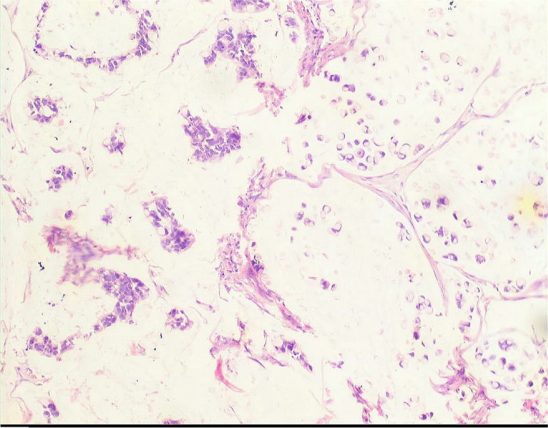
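Mucinous carcinoma at low power: large pale lakes of mucin take up most of the field, separated by thin pink fibrous septa. Within the lakes float purple tumour cell groups of several forms: small tubular and papillary clusters of crowded cells with dark nuclei, and scattered single rounded cells with clear cytoplasm lying loosely in the mucin. Some cell groups cling to the septa, others lie free in the middle of the pools. Little ordinary stroma is seen between the mucin lakes.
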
